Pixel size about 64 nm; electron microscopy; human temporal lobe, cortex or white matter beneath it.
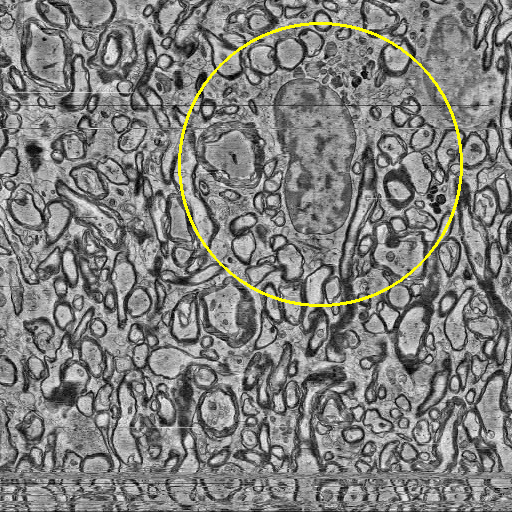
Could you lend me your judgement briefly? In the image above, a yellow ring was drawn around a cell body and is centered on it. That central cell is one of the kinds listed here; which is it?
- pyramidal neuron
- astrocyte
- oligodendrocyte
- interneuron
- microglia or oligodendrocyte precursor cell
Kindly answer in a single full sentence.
Going by the list, a microglial cell or oligodendrocyte precursor cell is the kind at the ring's center in the picture.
